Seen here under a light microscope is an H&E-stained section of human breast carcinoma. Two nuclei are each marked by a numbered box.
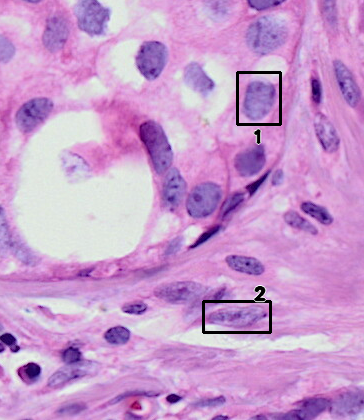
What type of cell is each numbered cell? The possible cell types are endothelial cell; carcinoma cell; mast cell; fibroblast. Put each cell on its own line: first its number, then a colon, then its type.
1: carcinoma cell
2: fibroblast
